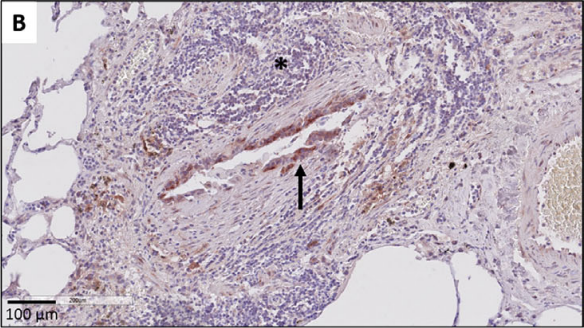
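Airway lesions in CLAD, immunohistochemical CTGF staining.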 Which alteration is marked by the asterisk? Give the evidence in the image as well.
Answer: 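The asterisk sits in a dense sheet of small round cells with dark blue nuclei. These cells crowd the wall around the airway.
Lymphocytic inflammation.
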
